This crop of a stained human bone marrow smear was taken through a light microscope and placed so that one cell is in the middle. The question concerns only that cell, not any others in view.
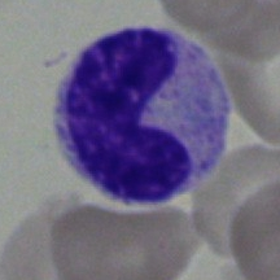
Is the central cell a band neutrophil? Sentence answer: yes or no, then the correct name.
Yes, the cell of interest in the centre is a band neutrophil.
